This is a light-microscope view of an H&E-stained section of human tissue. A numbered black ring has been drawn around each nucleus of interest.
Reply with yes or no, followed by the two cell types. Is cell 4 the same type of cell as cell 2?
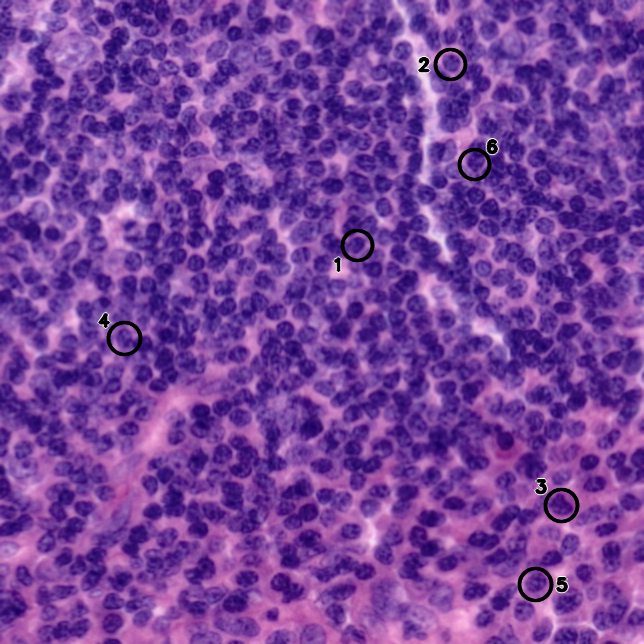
Yes, cells 4 and 2 are small lymphocytes, the two of them alike.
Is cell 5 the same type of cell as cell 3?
Yes, the two numbered cells, 5 and 3, are both plasma cells.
